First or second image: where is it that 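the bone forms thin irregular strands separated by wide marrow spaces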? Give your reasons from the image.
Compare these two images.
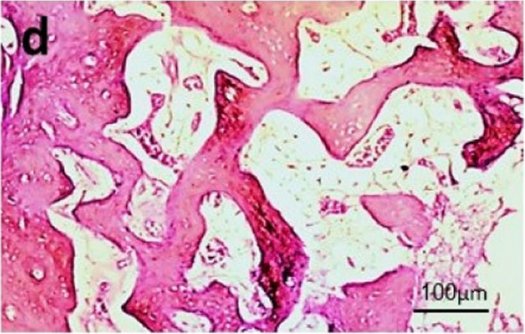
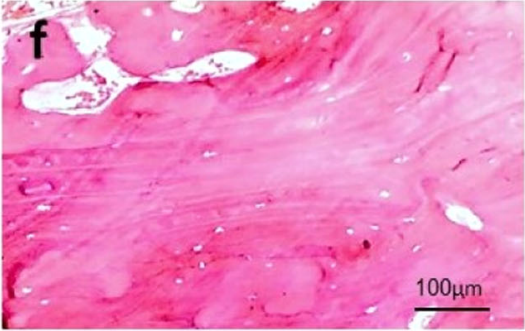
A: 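Second image: bone forms a broad continuous pink mass with few small spaces. First image: bone forms irregular branching strands around large pale spaces.
The first image.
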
